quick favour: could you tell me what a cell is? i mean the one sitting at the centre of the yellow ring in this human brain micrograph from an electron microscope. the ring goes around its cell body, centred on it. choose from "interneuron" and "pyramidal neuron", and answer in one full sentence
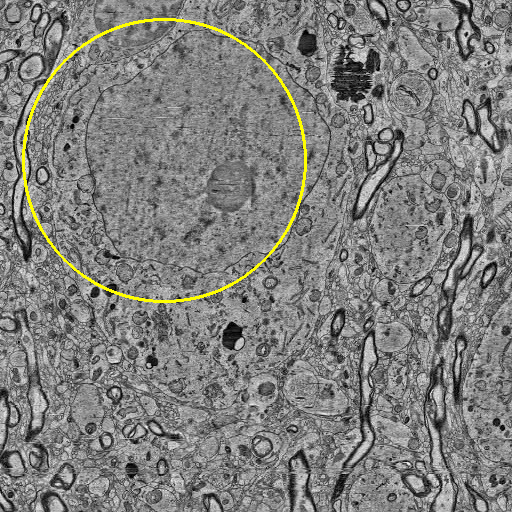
That's a pyramidal neuron, the cell sitting at the centre of the yellow ring.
